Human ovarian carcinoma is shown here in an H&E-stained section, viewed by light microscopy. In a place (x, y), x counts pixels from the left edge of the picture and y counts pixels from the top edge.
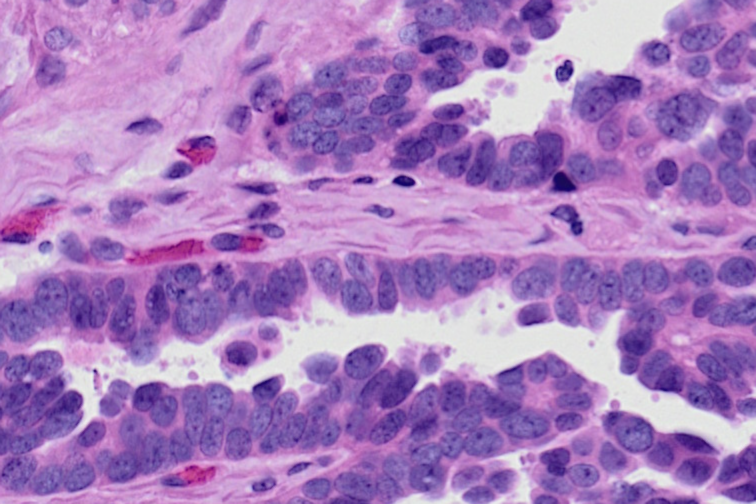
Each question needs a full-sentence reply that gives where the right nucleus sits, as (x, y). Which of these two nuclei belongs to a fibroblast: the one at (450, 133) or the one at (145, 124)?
Of the two nuclei, the one at (145, 124) belongs to a fibroblast.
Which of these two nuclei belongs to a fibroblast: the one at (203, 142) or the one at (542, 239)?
The one at (542, 239) is the nucleus belonging to a fibroblast, not the other one.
